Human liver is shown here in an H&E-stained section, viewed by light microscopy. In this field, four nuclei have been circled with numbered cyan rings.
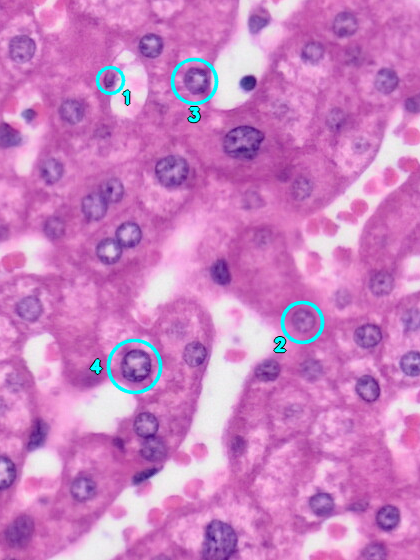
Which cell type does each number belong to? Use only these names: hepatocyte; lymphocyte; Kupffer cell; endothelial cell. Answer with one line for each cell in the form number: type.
1: Kupffer cell
2: hepatocyte
3: hepatocyte
4: hepatocyte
